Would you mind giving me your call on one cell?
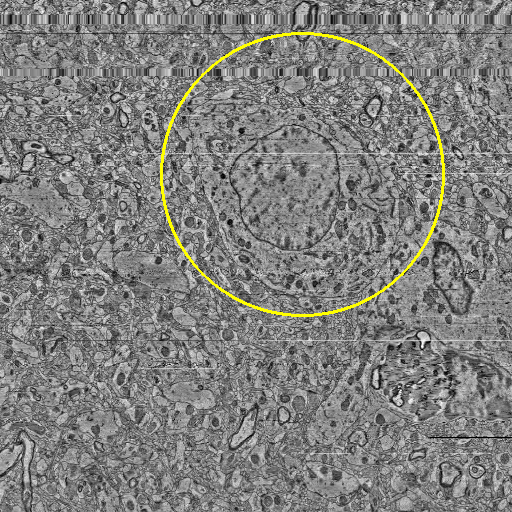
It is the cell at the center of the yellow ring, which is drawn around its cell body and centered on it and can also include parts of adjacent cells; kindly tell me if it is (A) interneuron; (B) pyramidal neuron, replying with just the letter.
B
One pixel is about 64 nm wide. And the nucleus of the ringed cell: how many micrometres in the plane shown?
About 8 micrometres across, as seen in this plane.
